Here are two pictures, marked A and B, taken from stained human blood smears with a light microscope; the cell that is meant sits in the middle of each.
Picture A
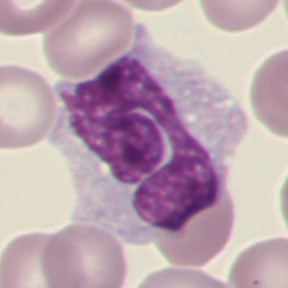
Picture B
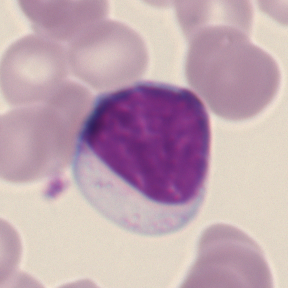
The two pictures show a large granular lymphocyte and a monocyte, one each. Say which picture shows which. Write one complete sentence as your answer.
Picture A is of a monocyte, and picture B is of a large granular lymphocyte.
